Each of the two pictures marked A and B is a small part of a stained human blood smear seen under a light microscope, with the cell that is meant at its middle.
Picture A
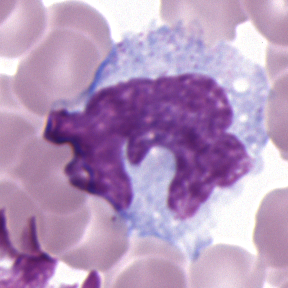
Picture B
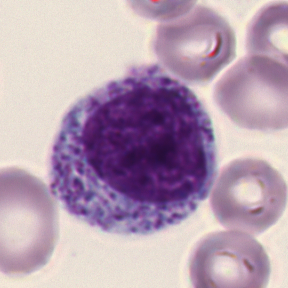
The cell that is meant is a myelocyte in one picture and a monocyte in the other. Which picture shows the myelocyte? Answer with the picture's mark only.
B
